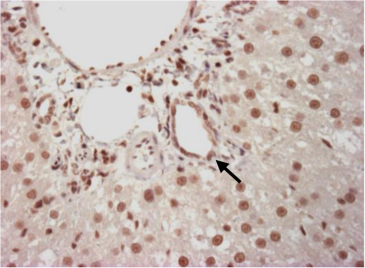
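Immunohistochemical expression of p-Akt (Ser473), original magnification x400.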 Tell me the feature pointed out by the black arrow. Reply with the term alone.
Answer: Interlobular bile ducts.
